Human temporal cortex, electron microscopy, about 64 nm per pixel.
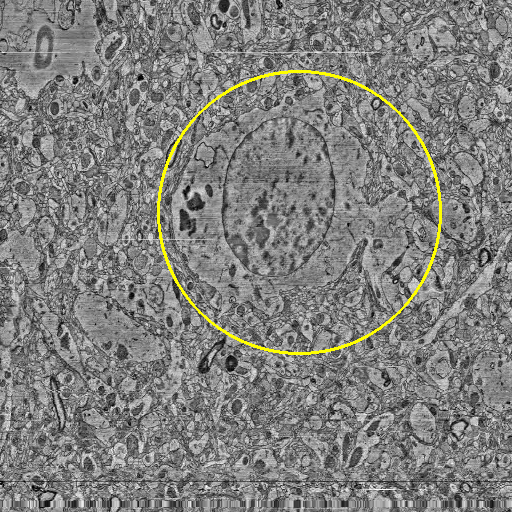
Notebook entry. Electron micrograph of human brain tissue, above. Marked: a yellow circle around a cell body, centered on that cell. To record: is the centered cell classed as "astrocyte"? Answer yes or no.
Yes, the centered cell is classed that way.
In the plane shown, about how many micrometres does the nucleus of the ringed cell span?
About 11 micrometres by about 7 micrometres in this plane.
